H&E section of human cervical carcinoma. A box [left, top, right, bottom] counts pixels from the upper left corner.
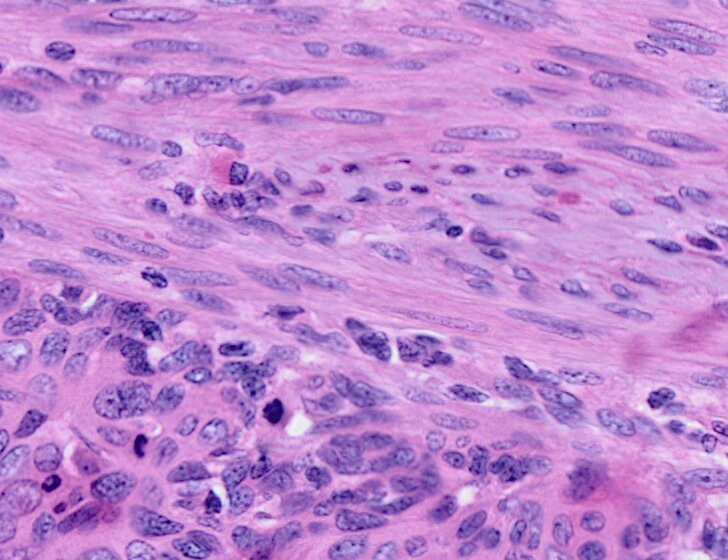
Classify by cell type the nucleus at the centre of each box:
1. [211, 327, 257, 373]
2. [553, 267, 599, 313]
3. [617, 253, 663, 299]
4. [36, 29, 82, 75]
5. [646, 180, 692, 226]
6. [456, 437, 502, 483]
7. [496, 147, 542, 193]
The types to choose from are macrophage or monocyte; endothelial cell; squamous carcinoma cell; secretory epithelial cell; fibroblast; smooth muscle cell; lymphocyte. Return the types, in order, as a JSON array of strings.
["lymphocyte", "smooth muscle cell", "smooth muscle cell", "lymphocyte", "smooth muscle cell", "squamous carcinoma cell", "smooth muscle cell"]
